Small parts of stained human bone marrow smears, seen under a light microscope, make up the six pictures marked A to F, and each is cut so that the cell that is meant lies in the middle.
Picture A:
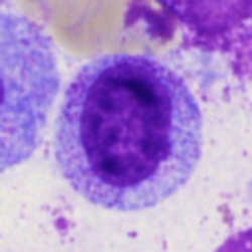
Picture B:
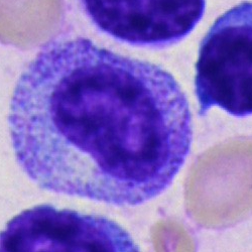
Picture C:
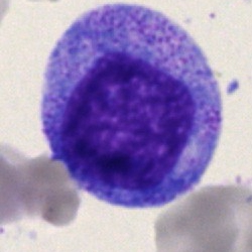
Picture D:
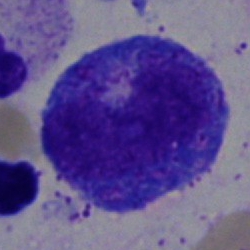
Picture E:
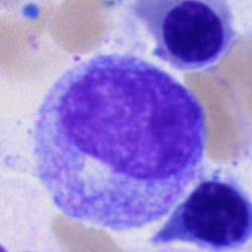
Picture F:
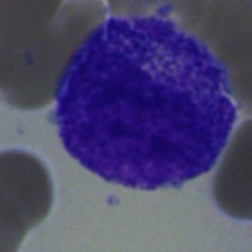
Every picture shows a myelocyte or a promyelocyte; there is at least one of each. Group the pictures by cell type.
A: myelocyte
B: myelocyte
C: promyelocyte
D: promyelocyte
E: promyelocyte
F: myelocyte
